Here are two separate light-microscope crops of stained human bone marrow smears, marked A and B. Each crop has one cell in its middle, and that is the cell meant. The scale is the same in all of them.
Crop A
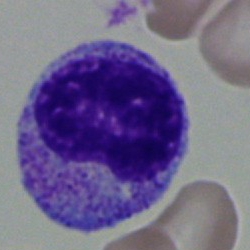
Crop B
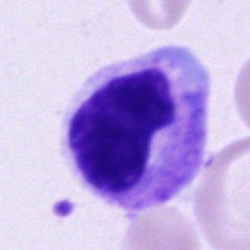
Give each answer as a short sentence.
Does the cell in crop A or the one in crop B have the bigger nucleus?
Larger is the nucleus in crop A, at roughly 1.5 times the area of the other.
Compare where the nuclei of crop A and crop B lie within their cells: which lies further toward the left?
The nucleus in crop B lies further toward the left of its cell.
